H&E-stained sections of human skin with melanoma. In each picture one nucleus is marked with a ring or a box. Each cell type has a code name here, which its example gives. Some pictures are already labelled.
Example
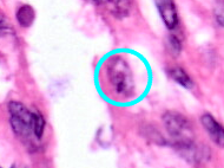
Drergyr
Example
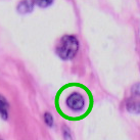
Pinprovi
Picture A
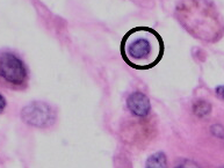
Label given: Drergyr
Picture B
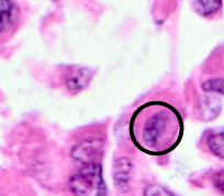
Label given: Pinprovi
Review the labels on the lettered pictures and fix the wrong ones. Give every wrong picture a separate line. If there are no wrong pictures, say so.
A is labelled Drergyr; correct label: Pinprovi
B is labelled Pinprovi; correct label: Drergyr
